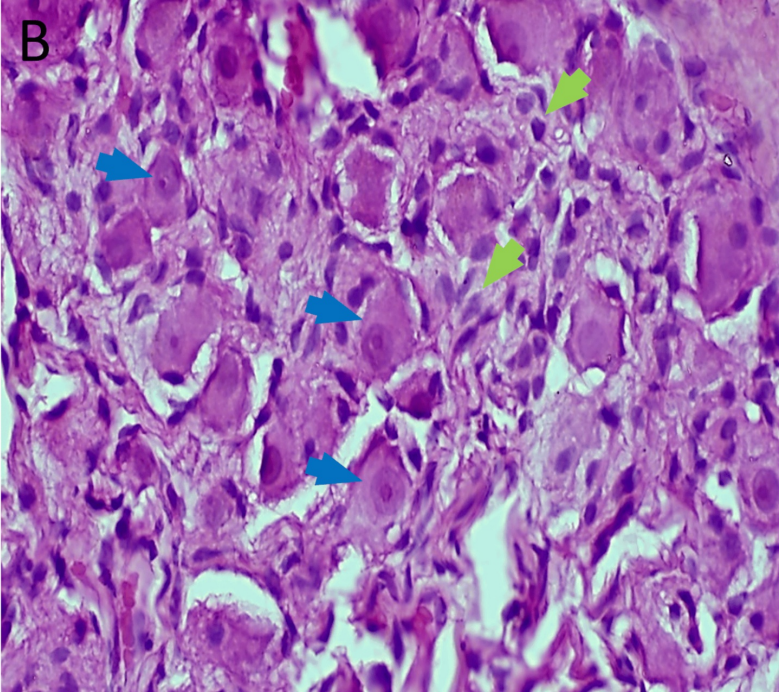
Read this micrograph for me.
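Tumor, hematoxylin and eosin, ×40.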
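Mature ganglion cells lie scattered among spindle-shaped Schwann cells. The ganglion cells are large and polygonal to rounded, with abundant pink, finely granular cytoplasm. Some cells are surrounded by narrow clear retraction spaces. Between them runs a loose, pale pink fibrillary stroma holding many small, elongated, dark purple nuclei of the spindle cells, which are oriented in various directions and wrap around or lie close to the large cells. Small clear spaces and a few thin vessels are scattered through the field.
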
